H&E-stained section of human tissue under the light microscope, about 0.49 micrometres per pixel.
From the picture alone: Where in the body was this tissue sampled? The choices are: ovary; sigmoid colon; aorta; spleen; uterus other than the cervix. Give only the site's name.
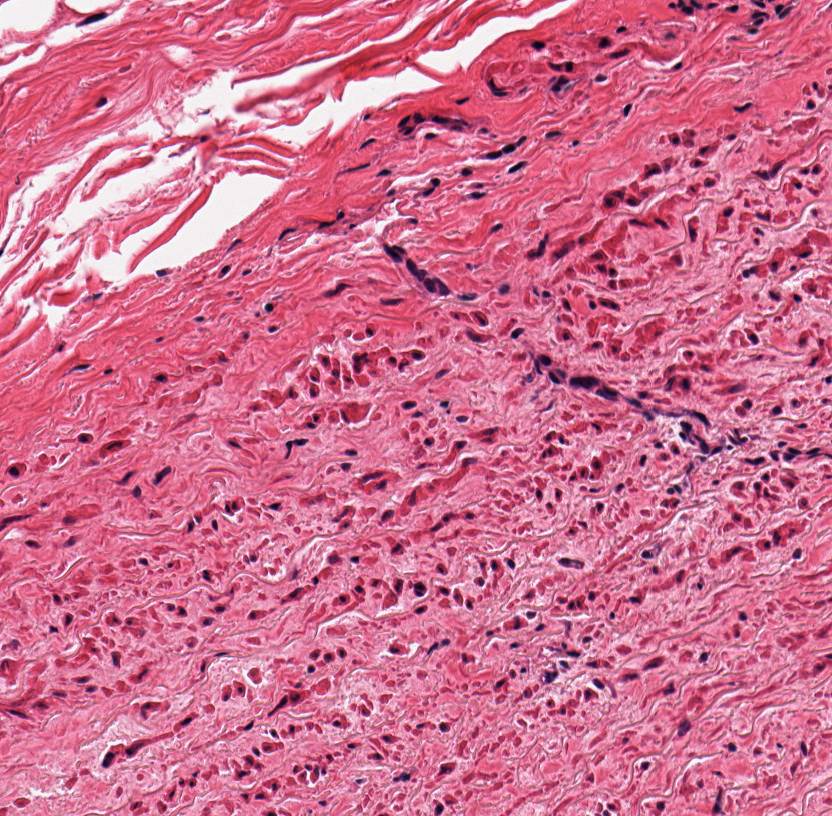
aorta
